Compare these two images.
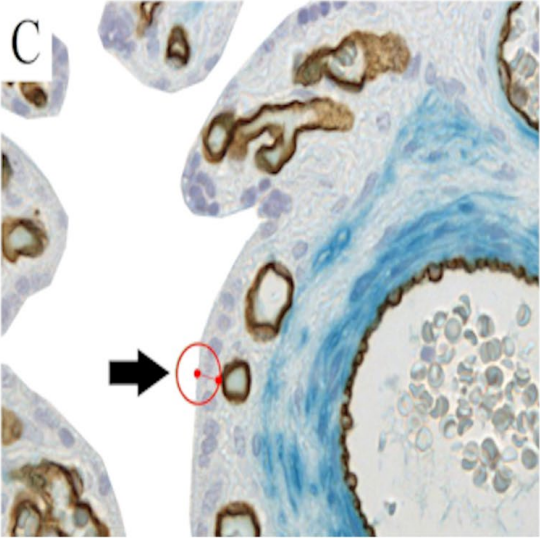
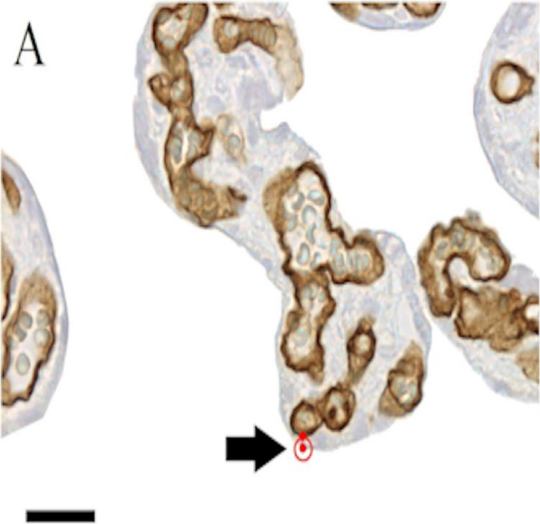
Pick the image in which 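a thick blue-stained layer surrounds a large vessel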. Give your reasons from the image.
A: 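Second image: only brown-lined small vessels in pale stroma, no blue layer. First image: a broad blue band wraps around a large vessel filled with red blood cells.
Answer: the first image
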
